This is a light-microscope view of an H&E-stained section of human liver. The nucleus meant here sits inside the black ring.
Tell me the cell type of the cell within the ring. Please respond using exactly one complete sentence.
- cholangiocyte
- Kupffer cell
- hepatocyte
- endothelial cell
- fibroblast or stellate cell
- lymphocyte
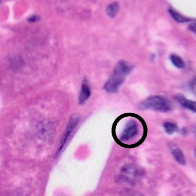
On this particular slide, the cell within the ring is a fibroblast or stellate cell.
